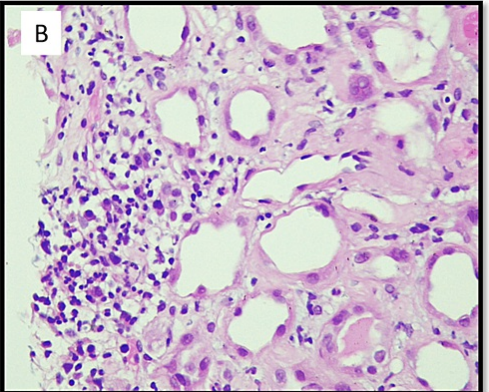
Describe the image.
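This is renal tubulointerstitium, with sections of tubules and a patch of interstitial inflammatory cells. The tubules have wide, empty-looking lumens and are lined by thin, flattened epithelial cells with sparse pink cytoplasm, a simplified lining typical of tubular injury. On the left, the interstitium is crowded with small round cells with dark nuclei and scant cytoplasm, some with eccentric nuclei, fitting lymphocytes and plasma cells. Between the tubules the interstitium is loose and pale. A few tubular lumens contain pink material.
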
